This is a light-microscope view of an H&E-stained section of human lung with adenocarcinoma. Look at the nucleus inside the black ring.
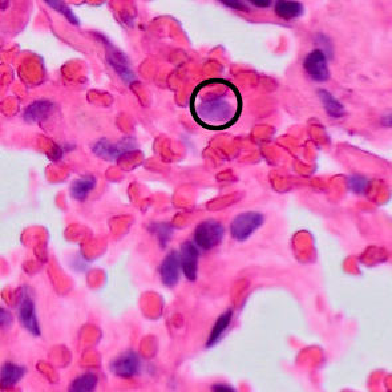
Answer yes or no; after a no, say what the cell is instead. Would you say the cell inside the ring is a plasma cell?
No, it is a type I pneumocyte.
